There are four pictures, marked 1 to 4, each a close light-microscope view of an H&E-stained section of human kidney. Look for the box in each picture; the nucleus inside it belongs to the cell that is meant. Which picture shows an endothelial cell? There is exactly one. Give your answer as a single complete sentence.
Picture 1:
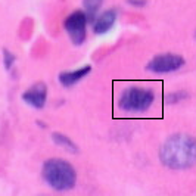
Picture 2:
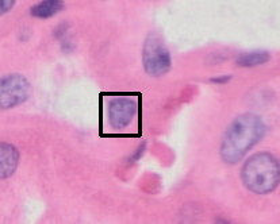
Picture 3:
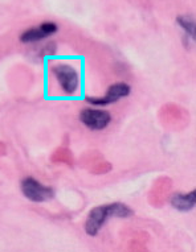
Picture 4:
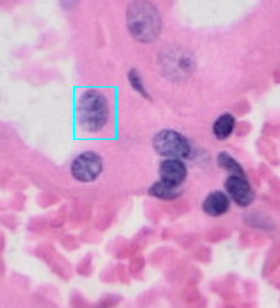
The cell in picture 3 is the endothelial cell.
